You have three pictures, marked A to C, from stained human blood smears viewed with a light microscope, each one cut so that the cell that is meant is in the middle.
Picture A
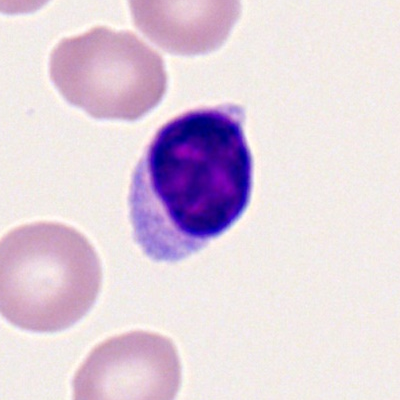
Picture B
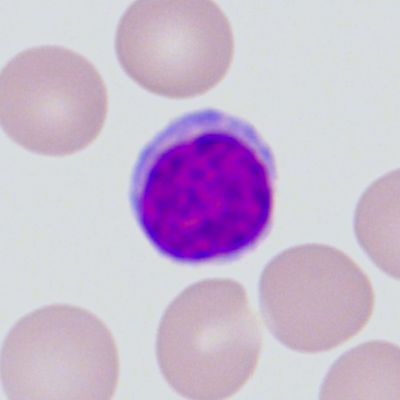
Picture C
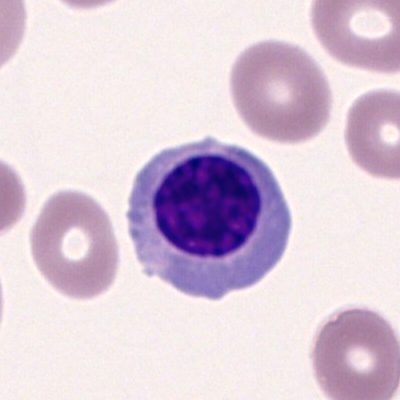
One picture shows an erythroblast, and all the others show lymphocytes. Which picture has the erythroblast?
C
